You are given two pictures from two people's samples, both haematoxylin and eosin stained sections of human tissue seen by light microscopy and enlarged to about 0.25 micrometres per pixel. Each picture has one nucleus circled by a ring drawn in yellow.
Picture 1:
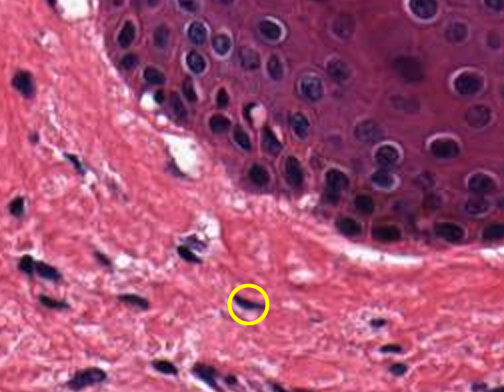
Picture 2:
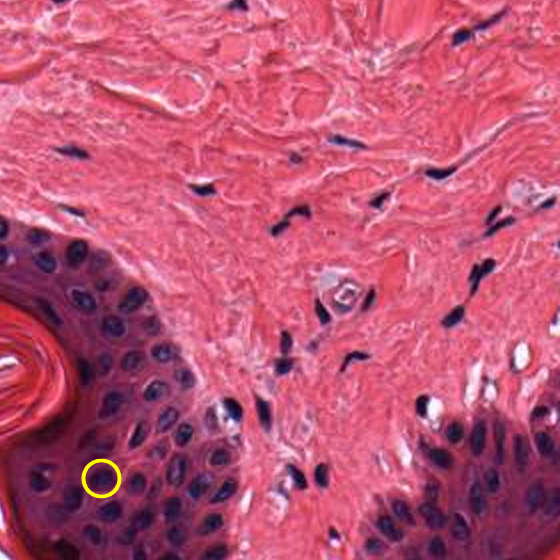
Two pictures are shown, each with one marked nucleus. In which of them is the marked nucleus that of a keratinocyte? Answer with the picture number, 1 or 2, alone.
2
